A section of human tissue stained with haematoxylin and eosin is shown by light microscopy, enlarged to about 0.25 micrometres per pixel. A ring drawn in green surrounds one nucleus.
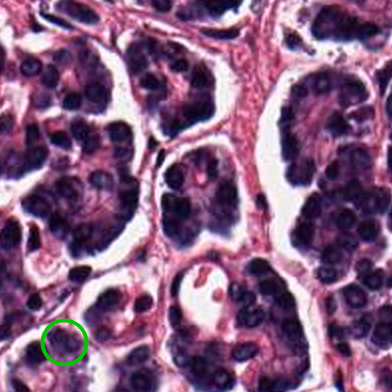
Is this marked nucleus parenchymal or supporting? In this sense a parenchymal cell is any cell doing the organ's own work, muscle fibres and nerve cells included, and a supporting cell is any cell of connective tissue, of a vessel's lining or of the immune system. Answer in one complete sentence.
It is a parenchymal cell, namely a pancreatic acinar cell, to which the marked nucleus belongs.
